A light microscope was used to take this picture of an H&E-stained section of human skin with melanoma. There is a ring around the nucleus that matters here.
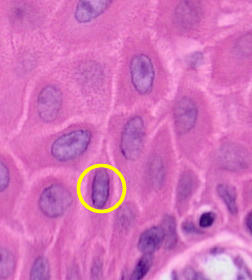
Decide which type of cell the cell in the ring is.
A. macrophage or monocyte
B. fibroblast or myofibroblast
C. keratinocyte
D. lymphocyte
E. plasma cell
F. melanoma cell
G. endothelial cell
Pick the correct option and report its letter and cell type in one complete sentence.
Answer with option C; the cell in the ring is a keratinocyte.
